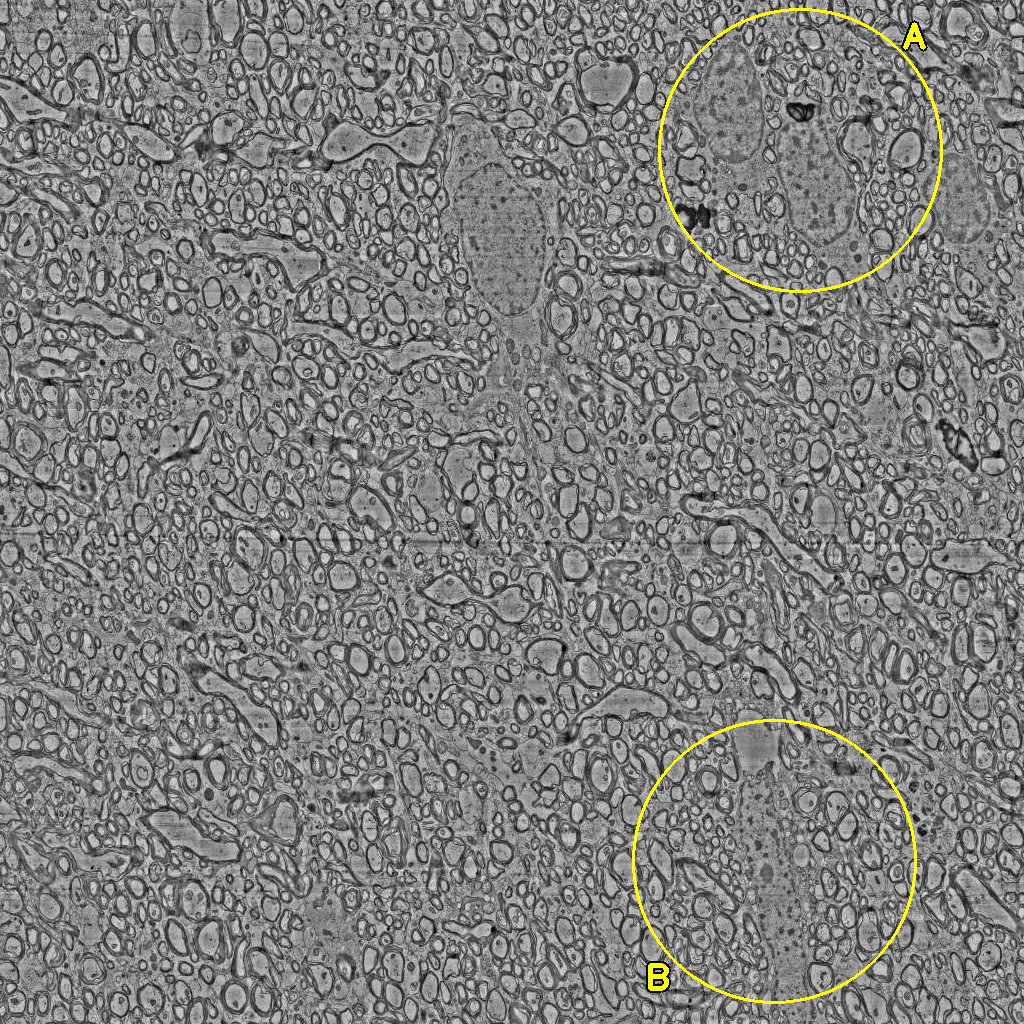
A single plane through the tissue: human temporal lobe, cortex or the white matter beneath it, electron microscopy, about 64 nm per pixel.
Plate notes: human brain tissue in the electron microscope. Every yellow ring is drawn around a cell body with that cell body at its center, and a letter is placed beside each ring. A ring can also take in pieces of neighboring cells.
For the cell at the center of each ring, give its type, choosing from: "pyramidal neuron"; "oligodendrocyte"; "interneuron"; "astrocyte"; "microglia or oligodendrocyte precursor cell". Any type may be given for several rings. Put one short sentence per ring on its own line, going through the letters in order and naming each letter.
Ring A shows an oligodendrocyte at the center.
Ring B shows an astrocyte at the center.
